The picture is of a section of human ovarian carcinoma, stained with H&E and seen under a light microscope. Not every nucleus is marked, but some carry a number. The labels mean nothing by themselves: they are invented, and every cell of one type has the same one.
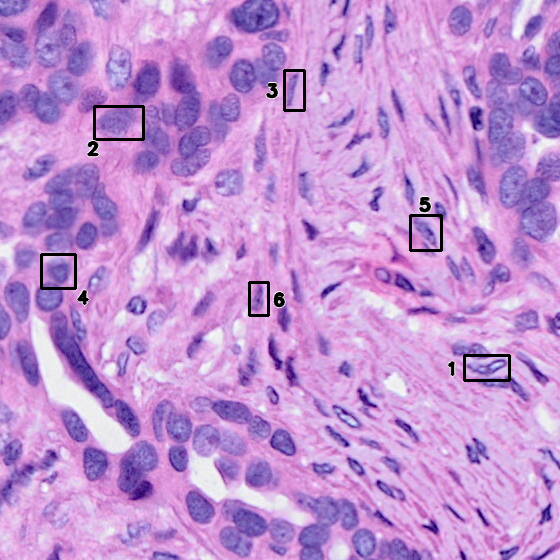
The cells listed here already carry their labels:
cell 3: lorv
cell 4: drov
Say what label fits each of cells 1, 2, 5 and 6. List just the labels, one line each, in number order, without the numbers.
lorv
drov
lorv
lorv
